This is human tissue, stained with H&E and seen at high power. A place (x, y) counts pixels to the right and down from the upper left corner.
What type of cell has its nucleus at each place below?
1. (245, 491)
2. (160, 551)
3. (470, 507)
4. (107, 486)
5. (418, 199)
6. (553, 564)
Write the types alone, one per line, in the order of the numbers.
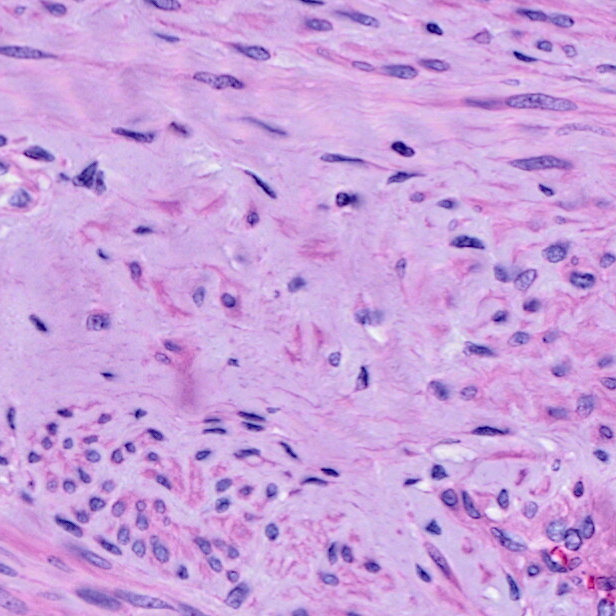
smooth muscle cell
smooth muscle cell
endothelial cell
smooth muscle cell
smooth muscle cell
endothelial cell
